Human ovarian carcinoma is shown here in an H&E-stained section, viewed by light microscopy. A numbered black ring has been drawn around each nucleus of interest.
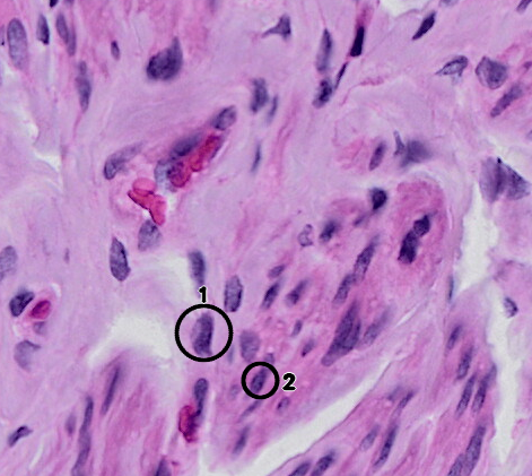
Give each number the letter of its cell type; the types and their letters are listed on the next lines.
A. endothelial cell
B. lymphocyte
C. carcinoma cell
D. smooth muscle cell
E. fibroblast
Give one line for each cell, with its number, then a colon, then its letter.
1: E
2: D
